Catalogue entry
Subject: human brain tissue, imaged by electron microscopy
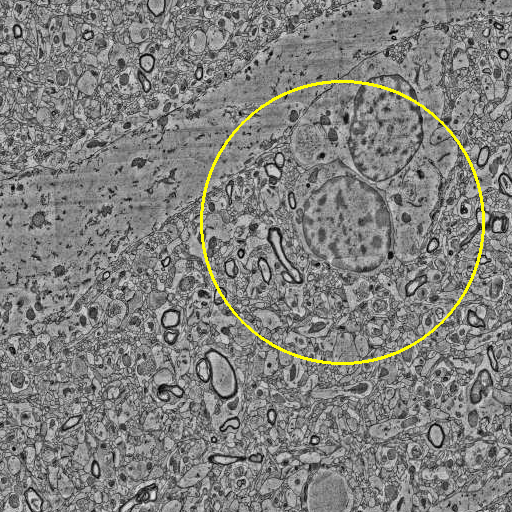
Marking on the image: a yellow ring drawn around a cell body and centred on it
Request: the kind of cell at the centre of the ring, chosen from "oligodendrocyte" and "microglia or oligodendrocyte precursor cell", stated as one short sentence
The ring has an oligodendrocyte at its centre.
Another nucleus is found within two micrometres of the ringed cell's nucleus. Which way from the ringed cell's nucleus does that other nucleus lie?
That other nucleus appears above it.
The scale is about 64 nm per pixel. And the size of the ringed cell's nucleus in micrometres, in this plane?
The nucleus of the ringed cell is approximately 6 micrometres across in this plane.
